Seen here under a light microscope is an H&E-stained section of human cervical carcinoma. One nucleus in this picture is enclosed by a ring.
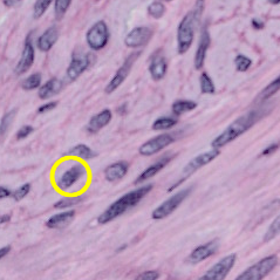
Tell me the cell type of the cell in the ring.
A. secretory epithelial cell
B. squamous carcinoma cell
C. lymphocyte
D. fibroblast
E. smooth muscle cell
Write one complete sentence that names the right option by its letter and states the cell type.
Under option E, the cell in the ring is a smooth muscle cell, which is the correct identification.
